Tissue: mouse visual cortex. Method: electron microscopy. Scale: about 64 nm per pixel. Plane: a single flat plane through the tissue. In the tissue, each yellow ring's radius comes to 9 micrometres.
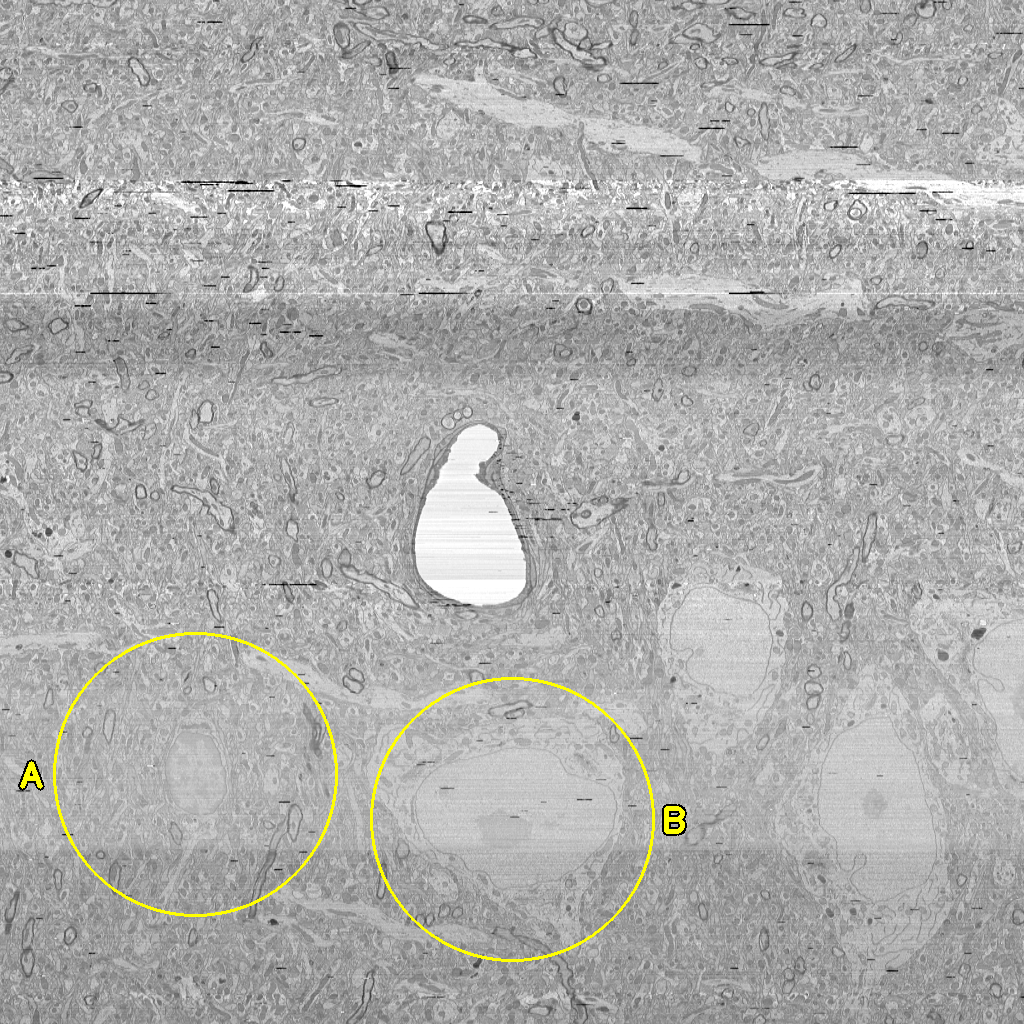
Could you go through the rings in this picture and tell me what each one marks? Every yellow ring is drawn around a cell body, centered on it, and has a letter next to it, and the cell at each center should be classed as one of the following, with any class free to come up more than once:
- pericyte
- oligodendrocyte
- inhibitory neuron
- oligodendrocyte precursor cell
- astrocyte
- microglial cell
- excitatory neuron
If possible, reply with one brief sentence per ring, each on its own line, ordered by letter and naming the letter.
The cell centered in ring A is a microglial cell.
The cell centered in ring B is an excitatory neuron.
